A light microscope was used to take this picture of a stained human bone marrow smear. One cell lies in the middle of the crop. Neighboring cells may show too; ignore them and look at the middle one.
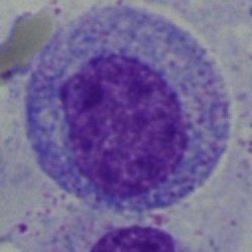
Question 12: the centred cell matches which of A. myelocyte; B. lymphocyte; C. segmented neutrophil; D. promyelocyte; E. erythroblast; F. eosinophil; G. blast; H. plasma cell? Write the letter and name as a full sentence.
The middle of the crop holds a promyelocyte, which points to option D.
